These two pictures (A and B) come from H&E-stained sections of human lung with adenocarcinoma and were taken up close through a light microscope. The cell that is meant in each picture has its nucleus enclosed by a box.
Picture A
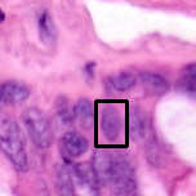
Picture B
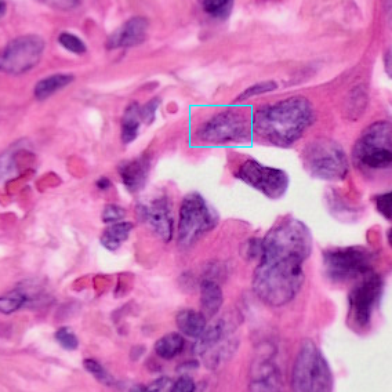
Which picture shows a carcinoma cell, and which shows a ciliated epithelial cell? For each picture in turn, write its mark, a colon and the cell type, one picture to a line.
A: ciliated epithelial cell
B: carcinoma cell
